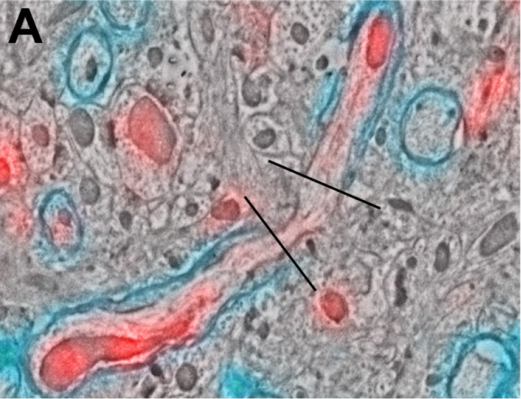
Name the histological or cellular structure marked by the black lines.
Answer: Nodes of Ranvier.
